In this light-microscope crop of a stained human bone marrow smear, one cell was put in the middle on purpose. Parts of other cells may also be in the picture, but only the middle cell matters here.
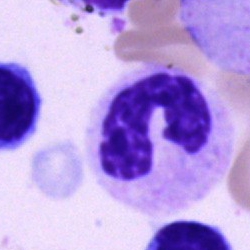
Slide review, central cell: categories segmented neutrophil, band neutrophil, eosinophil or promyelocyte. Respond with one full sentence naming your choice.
The centrally placed cell is classified as a band neutrophil.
